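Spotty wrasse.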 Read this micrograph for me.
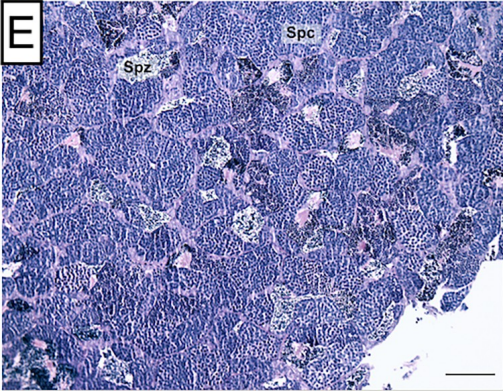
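Section of testis densely filled with cysts of small, dark purple spermatocytes, packed closely and separated by thin pink connective tissue. Scattered paler areas hold masses of spermatozoa between the cysts.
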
